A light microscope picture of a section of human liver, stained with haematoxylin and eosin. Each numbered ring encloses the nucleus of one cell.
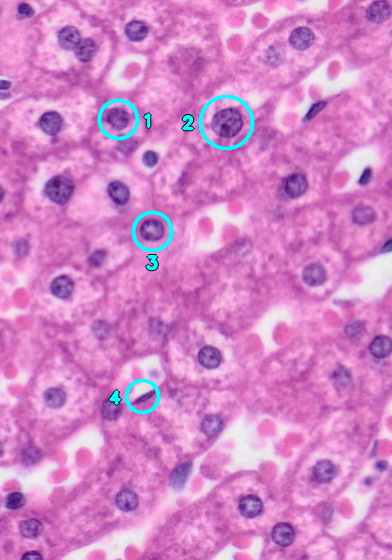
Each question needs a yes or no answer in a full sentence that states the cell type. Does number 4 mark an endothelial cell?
Yes, that is so; number 4 marks an endothelial cell.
